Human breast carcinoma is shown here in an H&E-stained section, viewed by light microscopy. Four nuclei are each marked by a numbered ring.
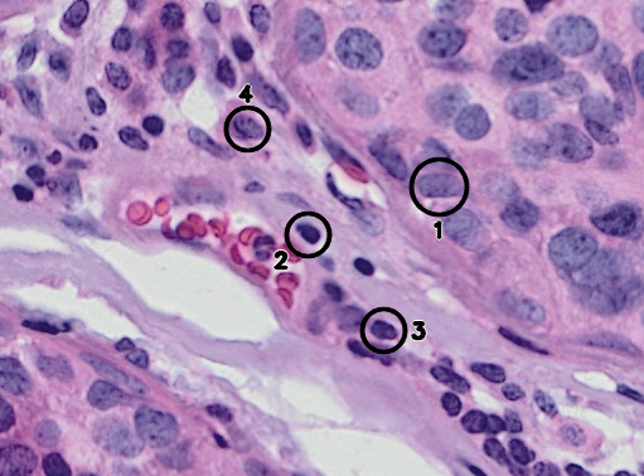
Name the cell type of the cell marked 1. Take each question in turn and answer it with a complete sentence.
Number 1 is placed on a carcinoma cell here.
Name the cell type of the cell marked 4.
Of the numbered cells, the one labelled 4 is a mast cell.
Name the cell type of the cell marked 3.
The cell numbered 3 represents a lymphocyte.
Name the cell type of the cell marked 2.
Among the marked cells, number 2 is a lymphocyte.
